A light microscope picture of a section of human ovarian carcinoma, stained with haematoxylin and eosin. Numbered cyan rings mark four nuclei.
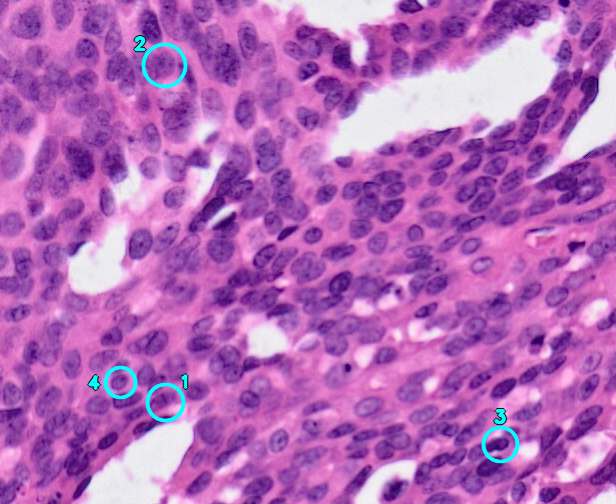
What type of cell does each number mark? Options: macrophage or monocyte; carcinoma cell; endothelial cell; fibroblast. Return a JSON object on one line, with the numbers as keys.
{"1": "carcinoma cell", "2": "carcinoma cell", "3": "carcinoma cell", "4": "macrophage or monocyte"}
